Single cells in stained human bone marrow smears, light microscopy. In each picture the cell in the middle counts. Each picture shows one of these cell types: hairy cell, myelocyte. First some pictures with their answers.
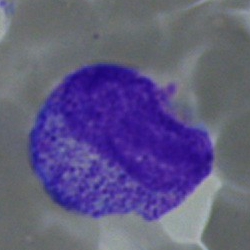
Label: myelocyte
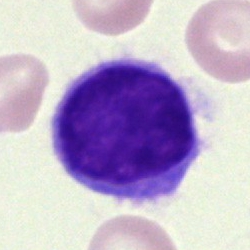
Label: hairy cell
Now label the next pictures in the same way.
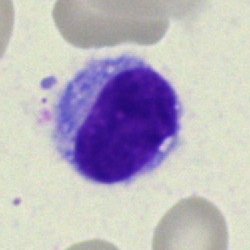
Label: hairy cell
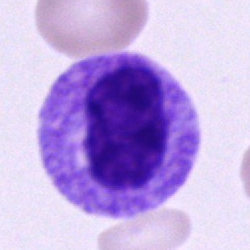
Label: myelocyte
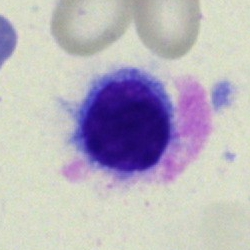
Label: hairy cell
